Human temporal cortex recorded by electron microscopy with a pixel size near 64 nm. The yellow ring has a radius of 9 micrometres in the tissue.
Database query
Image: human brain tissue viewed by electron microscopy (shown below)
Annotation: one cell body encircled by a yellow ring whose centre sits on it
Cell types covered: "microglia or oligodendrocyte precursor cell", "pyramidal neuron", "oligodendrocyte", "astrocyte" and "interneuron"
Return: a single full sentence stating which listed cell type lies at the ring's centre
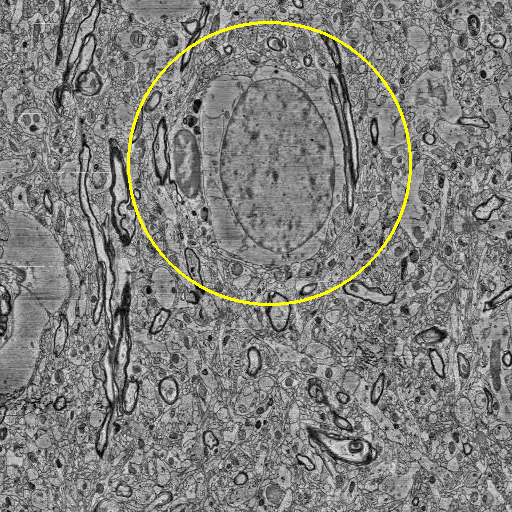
In the image, the cell lying at the ring's centre is an astrocyte.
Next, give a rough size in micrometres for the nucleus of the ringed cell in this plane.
About 12 by 7 micrometres in this plane; clearly longer than it is wide.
